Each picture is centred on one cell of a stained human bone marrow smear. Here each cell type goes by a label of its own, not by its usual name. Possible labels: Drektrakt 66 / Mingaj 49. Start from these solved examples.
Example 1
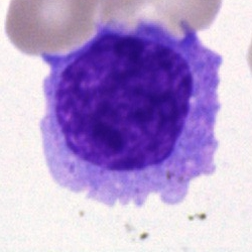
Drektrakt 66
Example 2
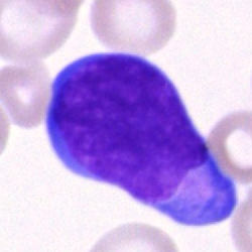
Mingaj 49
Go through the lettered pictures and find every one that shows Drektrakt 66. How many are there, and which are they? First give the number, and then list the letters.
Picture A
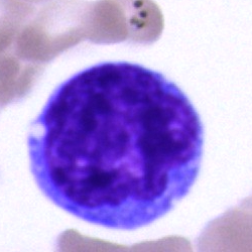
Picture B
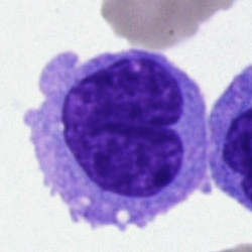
Count: 1 (B)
